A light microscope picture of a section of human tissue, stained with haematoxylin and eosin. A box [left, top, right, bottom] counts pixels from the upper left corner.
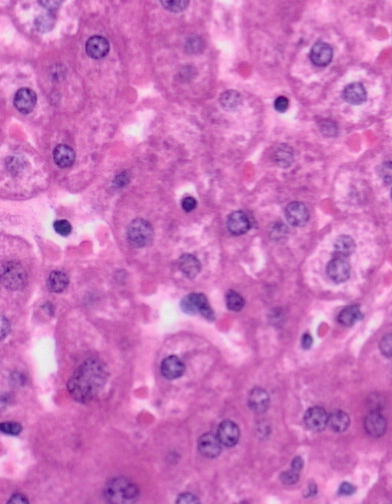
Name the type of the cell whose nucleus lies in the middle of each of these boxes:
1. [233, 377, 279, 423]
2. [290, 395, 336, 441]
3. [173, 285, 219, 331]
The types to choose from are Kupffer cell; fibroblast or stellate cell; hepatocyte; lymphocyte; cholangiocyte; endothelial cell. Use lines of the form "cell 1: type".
cell 1: hepatocyte
cell 2: hepatocyte
cell 3: endothelial cell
